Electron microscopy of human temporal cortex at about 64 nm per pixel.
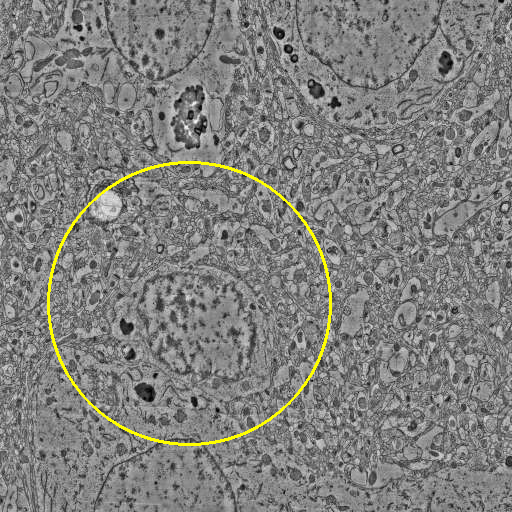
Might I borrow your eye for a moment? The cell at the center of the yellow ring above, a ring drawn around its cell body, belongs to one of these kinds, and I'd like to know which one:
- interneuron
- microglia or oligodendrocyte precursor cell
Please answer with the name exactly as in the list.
interneuron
